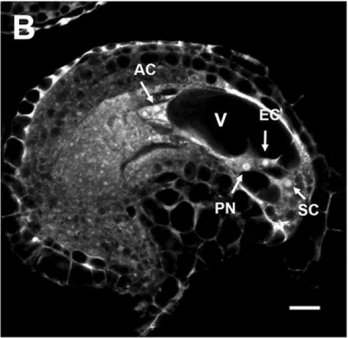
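An ovule with a developing embryo sac is seen, enclosed by several layers of small, tightly packed cells of the integuments and nucellus with gray cytoplasm. The embryo sac is dominated by a large black central vacuole.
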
